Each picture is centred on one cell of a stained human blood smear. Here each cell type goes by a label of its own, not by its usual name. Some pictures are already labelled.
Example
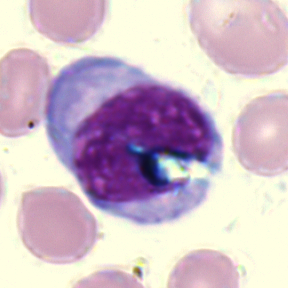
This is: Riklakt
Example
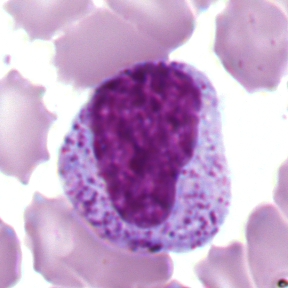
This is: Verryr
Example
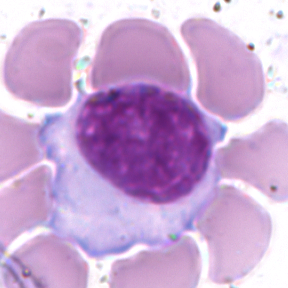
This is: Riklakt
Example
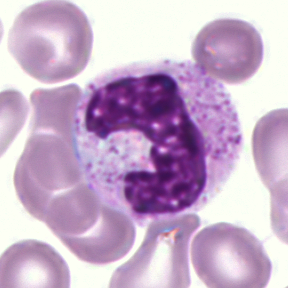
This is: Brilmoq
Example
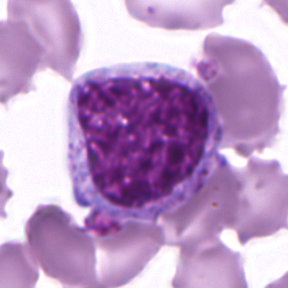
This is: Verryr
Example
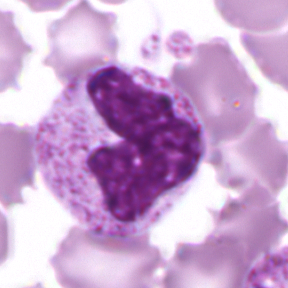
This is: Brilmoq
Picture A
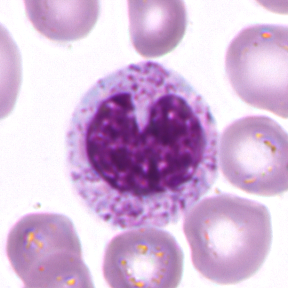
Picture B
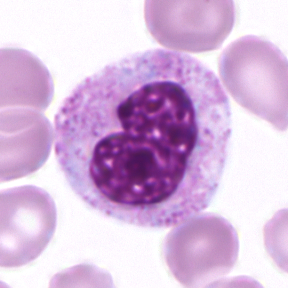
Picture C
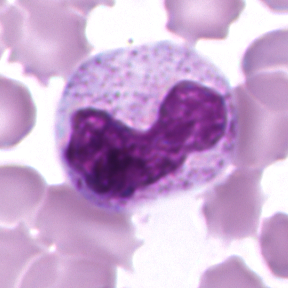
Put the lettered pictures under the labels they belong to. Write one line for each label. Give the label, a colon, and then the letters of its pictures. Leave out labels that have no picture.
Brilmoq: A, B, C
